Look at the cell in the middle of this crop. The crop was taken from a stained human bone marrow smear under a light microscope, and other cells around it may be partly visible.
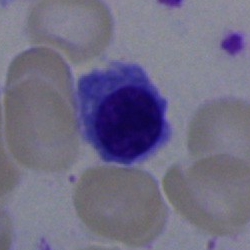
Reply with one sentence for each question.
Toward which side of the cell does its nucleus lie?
Toward the lower right of the cell lies its nucleus.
